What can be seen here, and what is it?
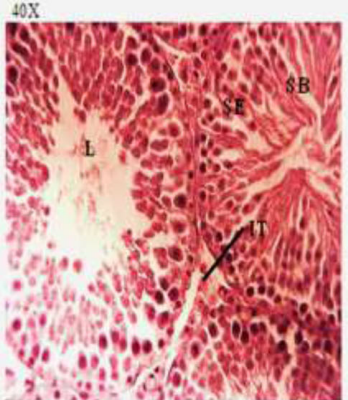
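This is seminiferous epithelium of the testis at high power, crowded with germ cells whose nuclei stain dark purple-red. The cells are packed in many layers from the tubule wall toward a pale central lumen. Near the lumen, fan-like bundles of slender elongated sperm heads converge, while a thin strip of interstitial tissue runs between adjoining tubules. The epithelium is full and compact, with little empty space.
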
